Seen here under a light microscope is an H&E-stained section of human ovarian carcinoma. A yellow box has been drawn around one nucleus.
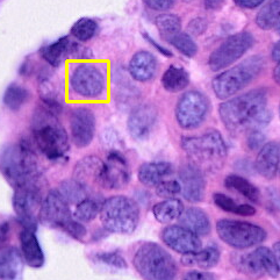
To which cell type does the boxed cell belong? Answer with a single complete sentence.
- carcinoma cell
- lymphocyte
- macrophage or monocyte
This is a carcinoma cell.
